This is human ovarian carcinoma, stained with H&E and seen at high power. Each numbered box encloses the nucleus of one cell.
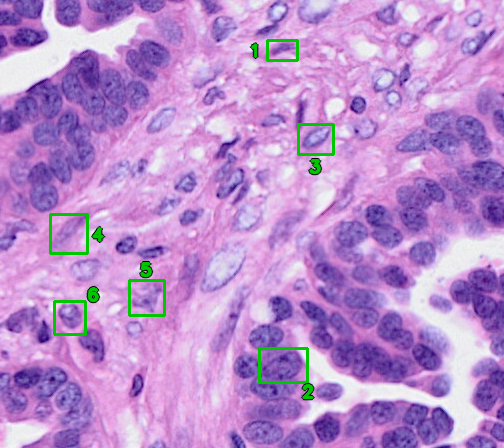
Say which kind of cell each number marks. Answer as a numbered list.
1. fibroblast
2. carcinoma cell
3. fibroblast
4. fibroblast
5. fibroblast
6. macrophage or monocyte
